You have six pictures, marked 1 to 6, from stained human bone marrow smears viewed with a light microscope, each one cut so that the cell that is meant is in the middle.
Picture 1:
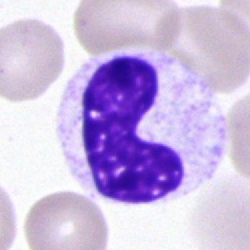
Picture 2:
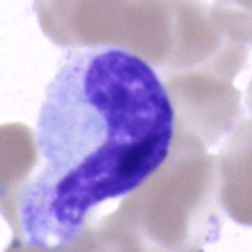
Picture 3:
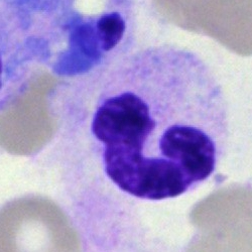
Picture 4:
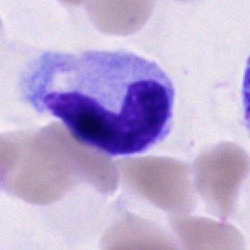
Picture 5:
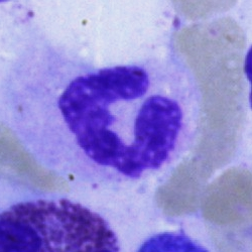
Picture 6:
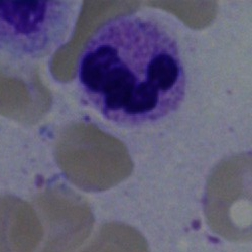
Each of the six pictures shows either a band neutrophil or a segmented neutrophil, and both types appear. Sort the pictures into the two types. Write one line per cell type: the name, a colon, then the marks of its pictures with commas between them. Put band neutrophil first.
band neutrophil: 1, 2, 3, 4
segmented neutrophil: 5, 6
